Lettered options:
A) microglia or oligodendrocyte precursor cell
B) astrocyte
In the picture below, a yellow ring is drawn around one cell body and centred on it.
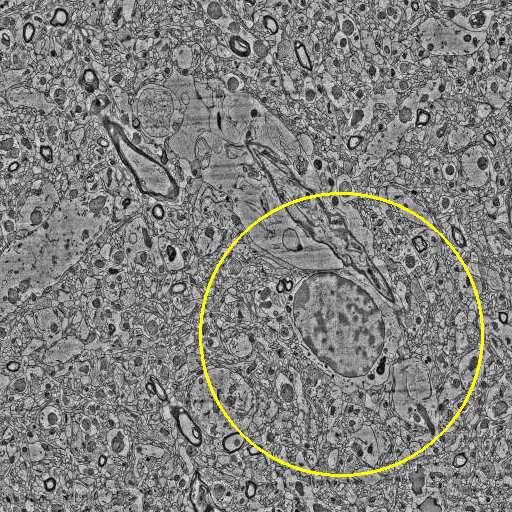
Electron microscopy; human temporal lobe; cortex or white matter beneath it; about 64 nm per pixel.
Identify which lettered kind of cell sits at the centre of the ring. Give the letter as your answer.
A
